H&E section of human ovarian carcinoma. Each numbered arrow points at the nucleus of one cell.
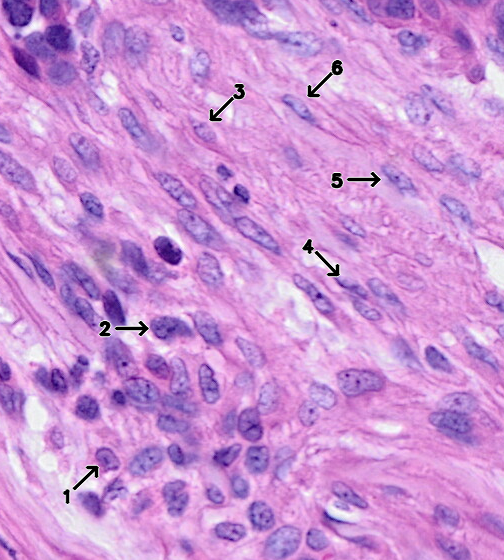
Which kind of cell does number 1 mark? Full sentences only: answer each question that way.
Numbered cell 1 is a macrophage or monocyte in this tissue section.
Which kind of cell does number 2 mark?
In this section, the cell tagged 2 is a macrophage or monocyte.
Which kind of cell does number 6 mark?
The identity of cell 6 is that of a fibroblast.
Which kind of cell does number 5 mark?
The cell that bears the number 5 is a fibroblast.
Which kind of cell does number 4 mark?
Recognised here as a fibroblast is the cell numbered 4.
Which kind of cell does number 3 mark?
The cell numbered 3 has been identified as a fibroblast.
